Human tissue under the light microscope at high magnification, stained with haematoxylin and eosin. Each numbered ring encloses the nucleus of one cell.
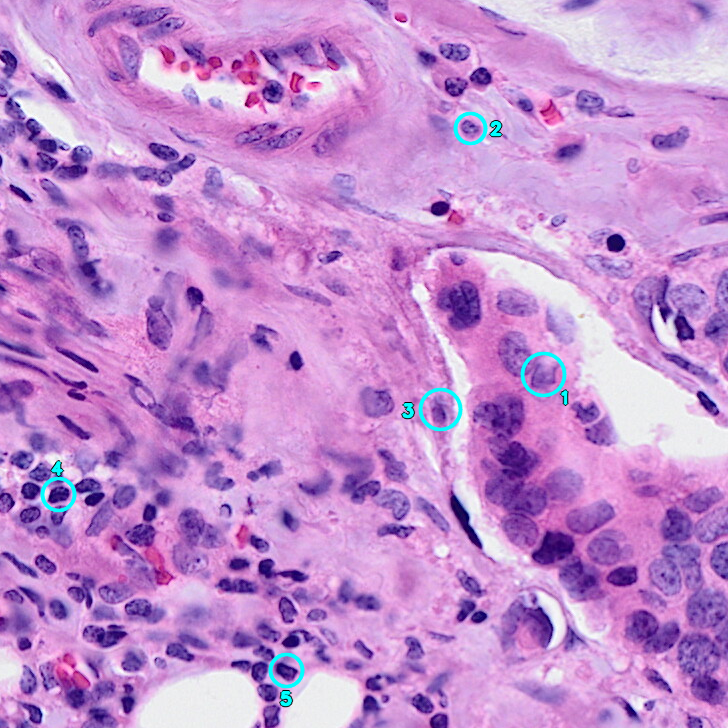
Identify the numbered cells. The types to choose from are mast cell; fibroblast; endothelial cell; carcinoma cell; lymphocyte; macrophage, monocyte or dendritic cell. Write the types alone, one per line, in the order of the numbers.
carcinoma cell
mast cell
fibroblast
lymphocyte
lymphocyte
